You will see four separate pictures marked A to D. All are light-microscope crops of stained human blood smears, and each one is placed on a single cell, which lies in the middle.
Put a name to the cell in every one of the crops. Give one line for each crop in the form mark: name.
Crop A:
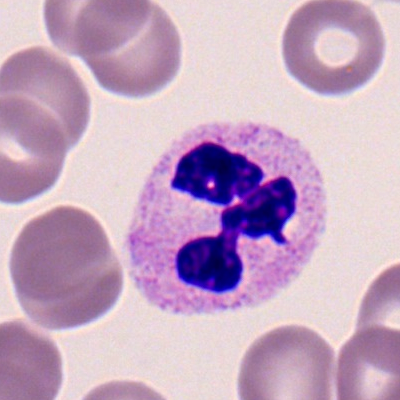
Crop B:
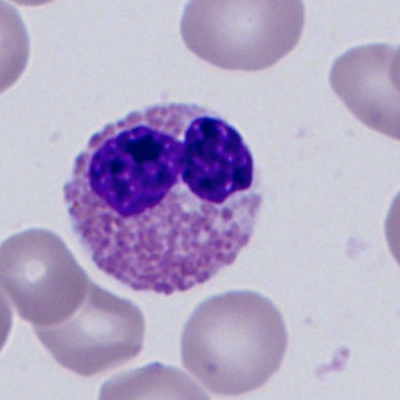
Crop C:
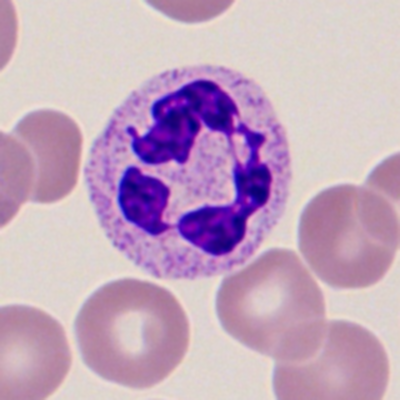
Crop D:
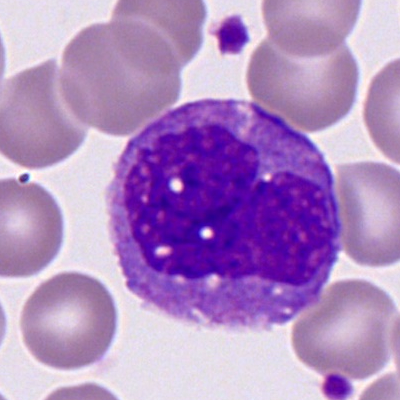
A: segmented neutrophil
B: eosinophil
C: segmented neutrophil
D: monocyte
